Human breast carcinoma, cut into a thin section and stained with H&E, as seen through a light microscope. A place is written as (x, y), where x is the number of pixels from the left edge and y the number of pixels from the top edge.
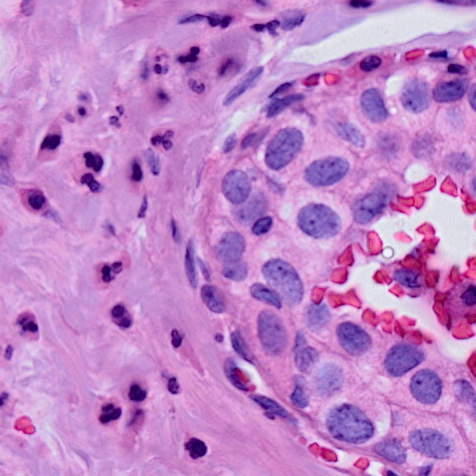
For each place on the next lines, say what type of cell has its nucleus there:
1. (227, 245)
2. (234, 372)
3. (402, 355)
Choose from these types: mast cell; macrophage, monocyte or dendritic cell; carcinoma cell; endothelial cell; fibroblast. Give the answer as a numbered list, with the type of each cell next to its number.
1. carcinoma cell
2. endothelial cell
3. carcinoma cell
